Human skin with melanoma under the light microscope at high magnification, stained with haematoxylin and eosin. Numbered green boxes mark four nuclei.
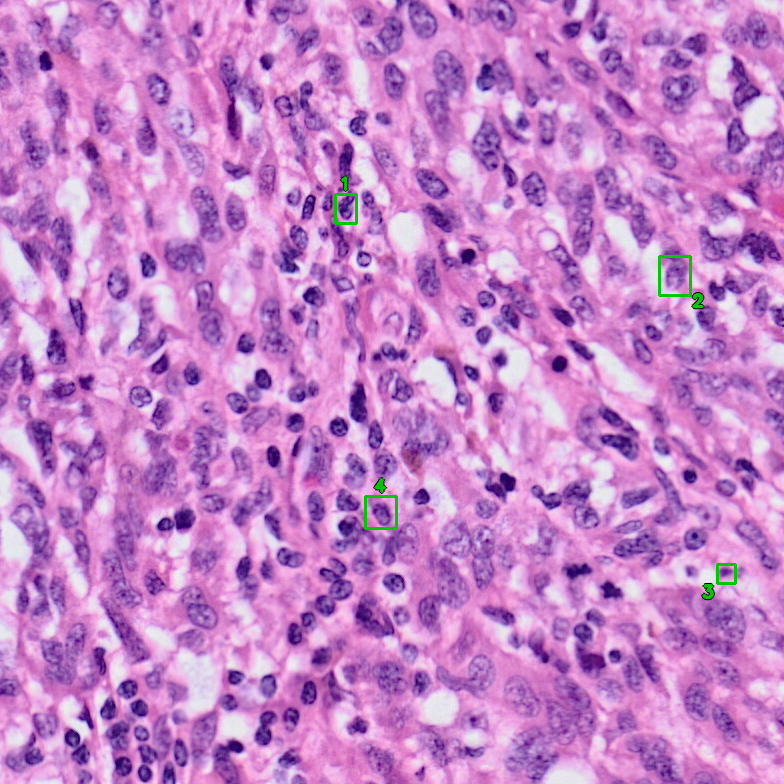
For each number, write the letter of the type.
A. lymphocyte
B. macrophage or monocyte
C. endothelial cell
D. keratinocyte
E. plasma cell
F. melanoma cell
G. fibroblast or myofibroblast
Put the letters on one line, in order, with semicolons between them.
A; F; A; A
